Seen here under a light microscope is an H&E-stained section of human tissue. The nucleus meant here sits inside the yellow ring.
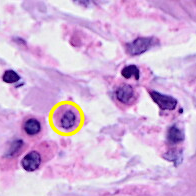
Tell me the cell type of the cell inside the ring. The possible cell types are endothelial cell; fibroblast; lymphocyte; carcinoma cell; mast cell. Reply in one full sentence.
Students should answer that the cell inside the ring is a mast cell.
